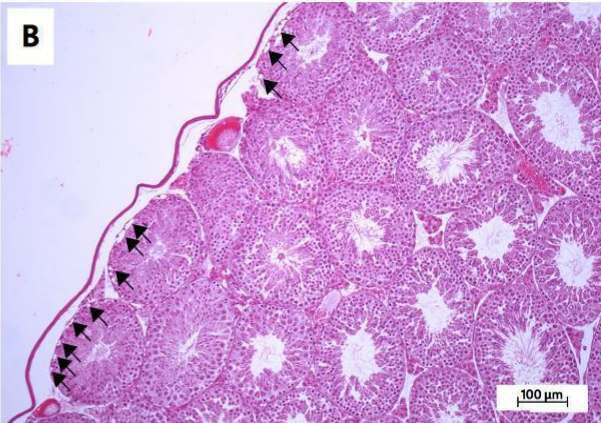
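Cross-sections of seminiferous tubules in testis, packed closely beneath a thin pink fibrous capsule along the left edge. Each tubule has a thick stratified epithelium of purple-nucleated cells surrounding a central lumen containing pale pink filamentous material. In tubules at the periphery, just under the capsule, the epithelium contains small clear round spaces, giving a vacuolated appearance in its outer part. Narrow interstitial spaces between tubules hold scattered pink material and a few small vessels, one containing red blood cells near the capsule. Tubules deeper in the section appear more uniformly cellular.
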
